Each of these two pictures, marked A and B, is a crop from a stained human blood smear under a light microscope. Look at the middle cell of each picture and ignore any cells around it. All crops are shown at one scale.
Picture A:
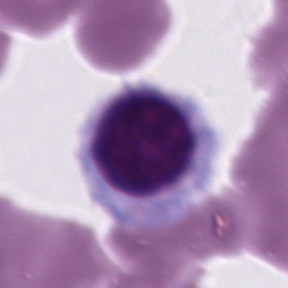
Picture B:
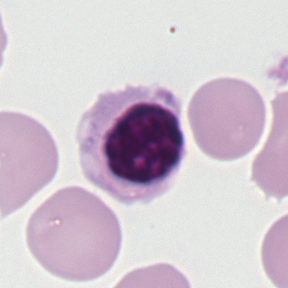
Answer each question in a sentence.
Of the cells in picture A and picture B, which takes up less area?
The cell in picture B is smaller; the one in picture A has about 1.5 times its area.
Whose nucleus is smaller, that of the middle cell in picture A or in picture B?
The nucleus in picture B is smaller; the one in picture A has about 1.5 times its area.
